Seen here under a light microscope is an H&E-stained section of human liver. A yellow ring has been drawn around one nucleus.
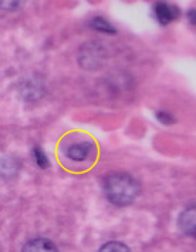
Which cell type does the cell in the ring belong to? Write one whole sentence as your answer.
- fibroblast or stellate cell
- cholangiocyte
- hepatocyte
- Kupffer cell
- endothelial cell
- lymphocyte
In cellular terms, the cell in the ring is a Kupffer cell.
